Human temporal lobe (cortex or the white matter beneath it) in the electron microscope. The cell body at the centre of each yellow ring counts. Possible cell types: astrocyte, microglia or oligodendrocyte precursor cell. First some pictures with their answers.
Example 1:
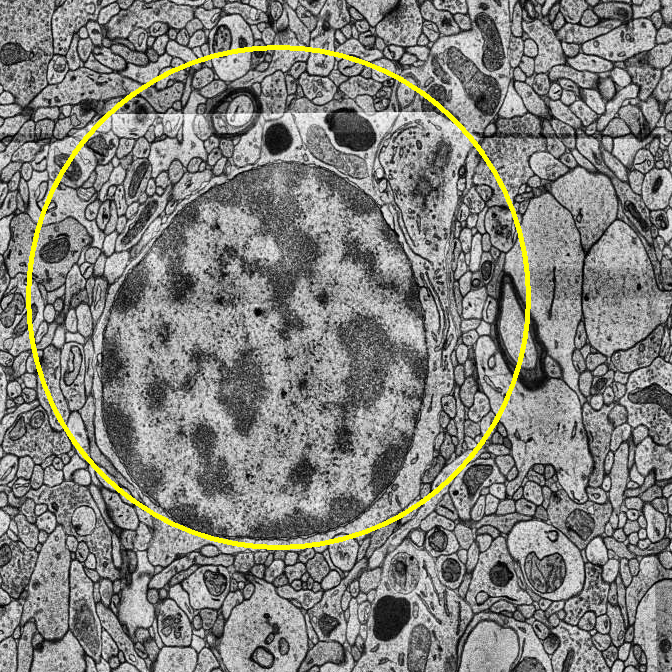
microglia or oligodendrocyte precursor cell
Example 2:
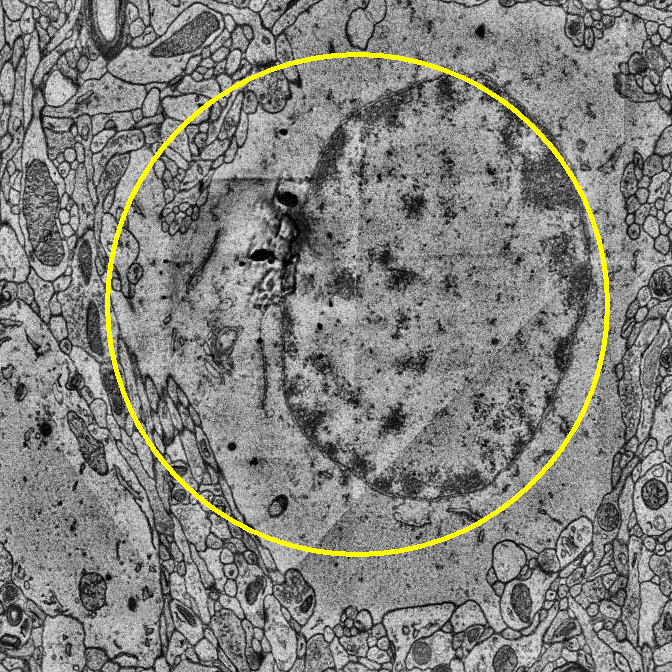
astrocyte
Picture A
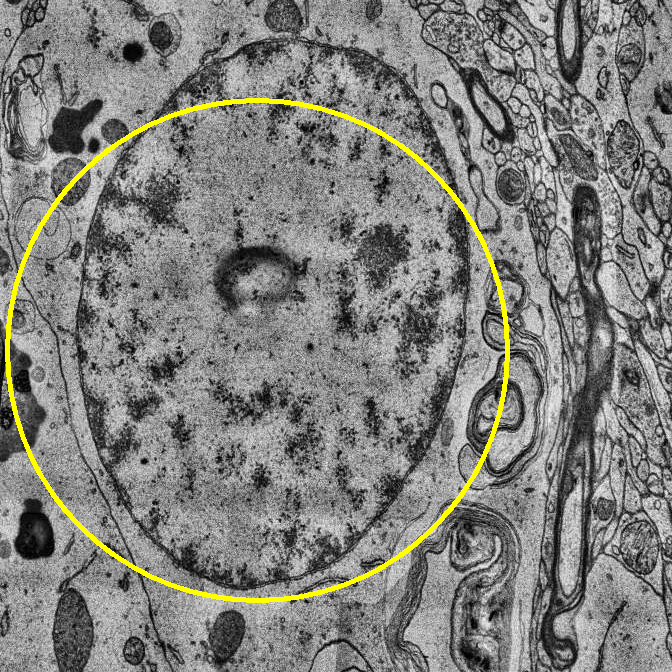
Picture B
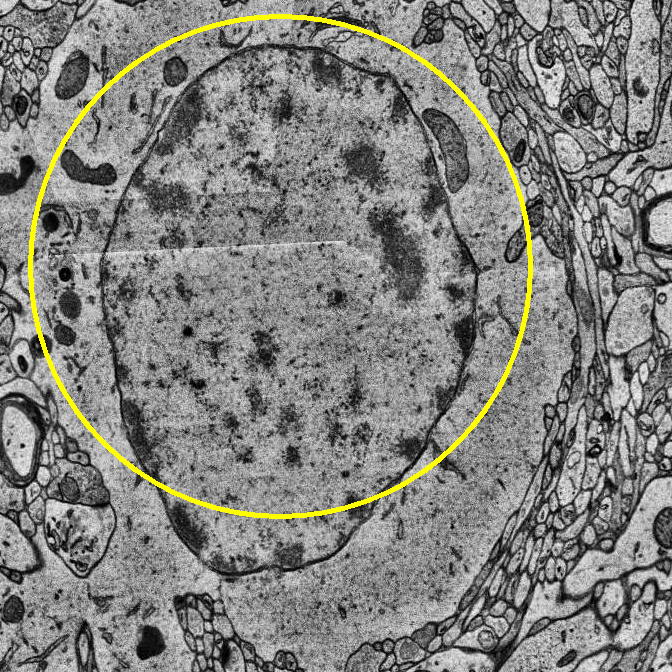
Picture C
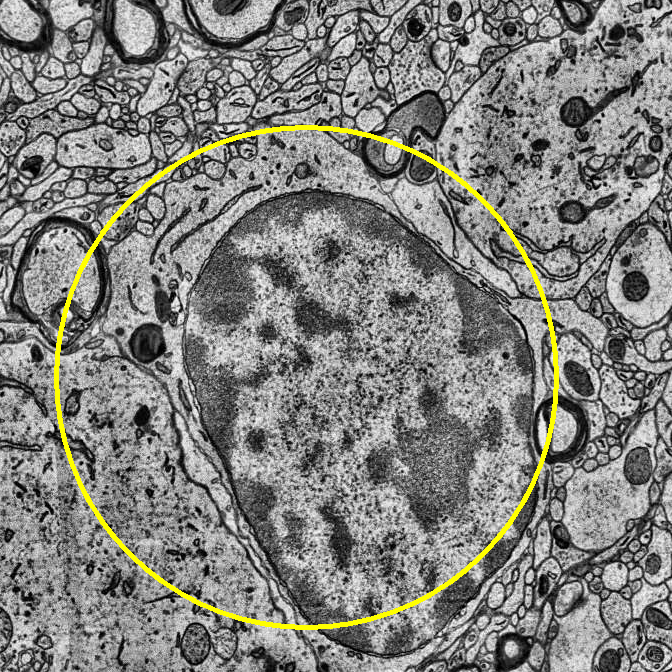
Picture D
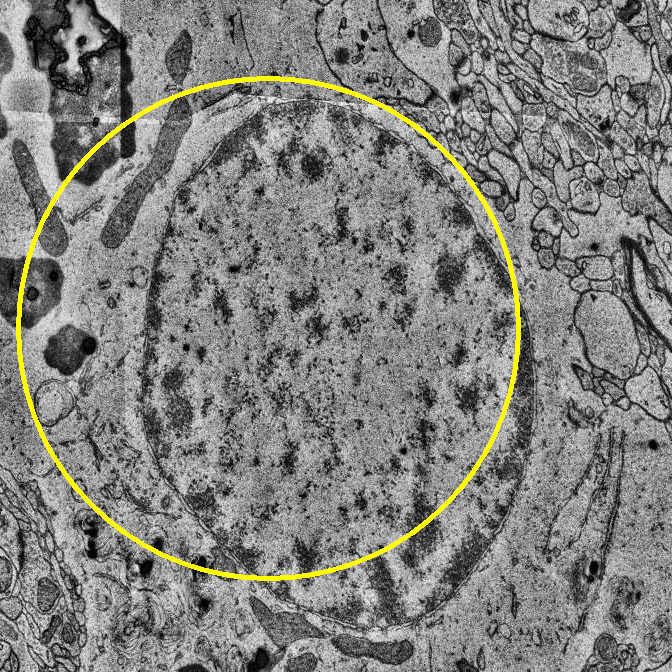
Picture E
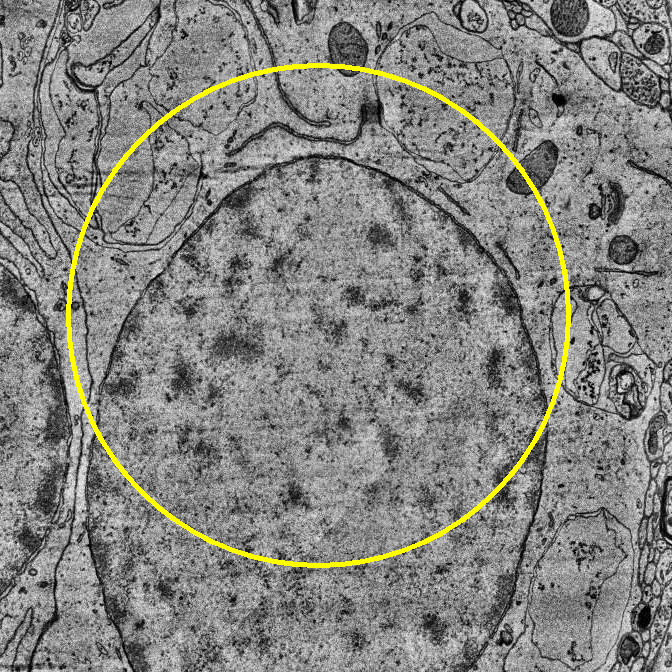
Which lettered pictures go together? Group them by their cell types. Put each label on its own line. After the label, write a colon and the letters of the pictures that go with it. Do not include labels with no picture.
astrocyte: A, B, D, E
microglia or oligodendrocyte precursor cell: C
